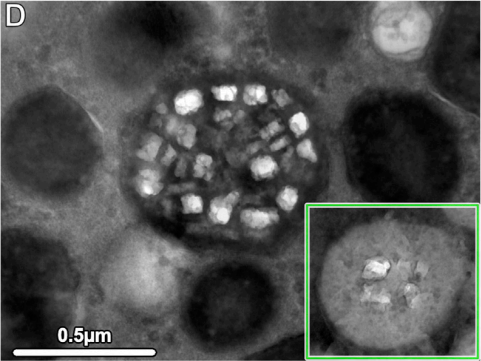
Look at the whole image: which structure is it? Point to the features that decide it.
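A round organelle in the center holds many bright angular fragments. The fragments are rectangular in outline.
Crystal inclusions.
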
